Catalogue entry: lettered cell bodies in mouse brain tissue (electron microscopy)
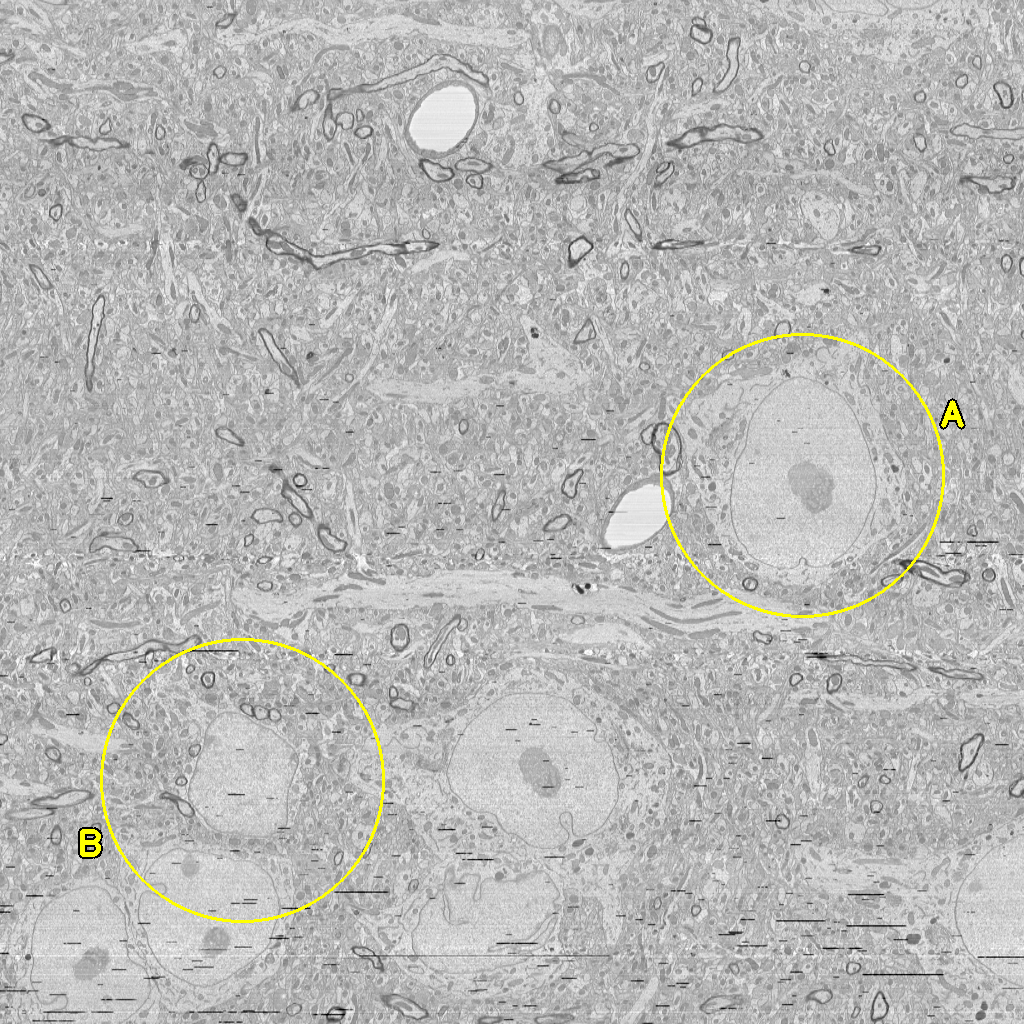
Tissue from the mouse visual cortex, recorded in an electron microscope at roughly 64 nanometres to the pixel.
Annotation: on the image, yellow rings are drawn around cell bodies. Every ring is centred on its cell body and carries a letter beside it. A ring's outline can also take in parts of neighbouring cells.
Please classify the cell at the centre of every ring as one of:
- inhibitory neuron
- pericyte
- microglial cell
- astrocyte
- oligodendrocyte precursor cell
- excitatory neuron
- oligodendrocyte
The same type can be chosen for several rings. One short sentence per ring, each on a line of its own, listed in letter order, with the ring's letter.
Ring A is classified as an excitatory neuron.
Ring B is classified as an astrocyte.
